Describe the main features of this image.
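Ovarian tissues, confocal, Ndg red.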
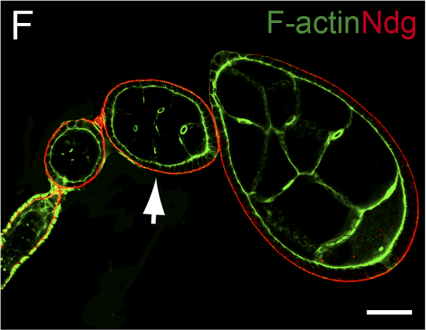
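An ovariole shows a string of egg chambers of increasing size from left to right. Each chamber is rounded to oval, enclosed by a thin green-outlined follicular epithelium. Inside, green lines outline large germline cells, and small green rings are visible between them in the middle chambers. The largest chamber on the right contains several big polygonal cells separated by green borders. A thin, continuous red line runs along the outside of each egg chamber, marking the basement membrane that surrounds the follicular epithelium, and it tapers onto the narrow stalk-like region at the left.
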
